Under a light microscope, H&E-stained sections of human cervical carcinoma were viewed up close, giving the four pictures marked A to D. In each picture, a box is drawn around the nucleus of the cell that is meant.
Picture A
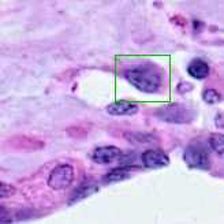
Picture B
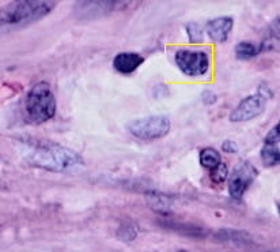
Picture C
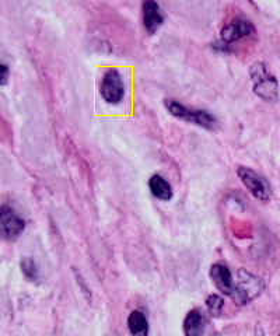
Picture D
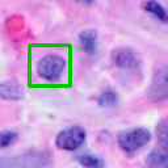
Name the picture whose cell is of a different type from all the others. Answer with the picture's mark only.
A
